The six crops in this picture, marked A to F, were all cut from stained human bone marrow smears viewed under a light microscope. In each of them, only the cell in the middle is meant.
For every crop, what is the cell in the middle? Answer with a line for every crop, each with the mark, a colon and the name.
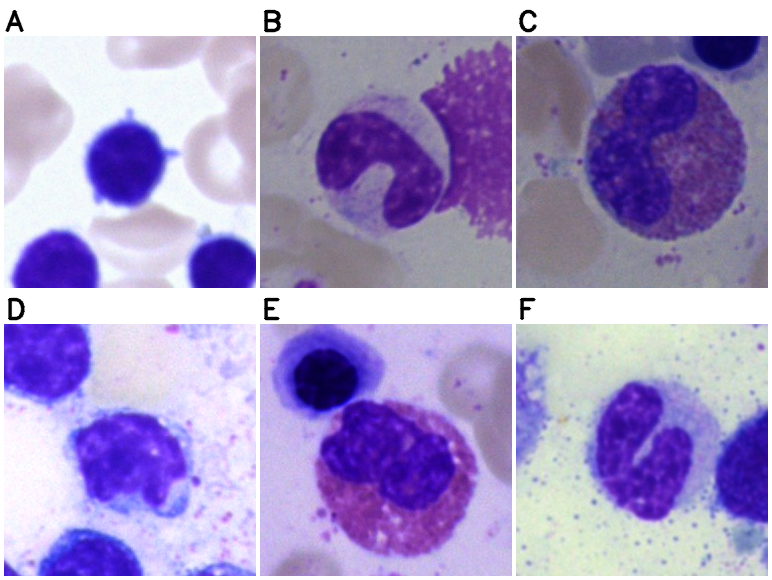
A: lymphocyte
B: band neutrophil
C: eosinophil
D: lymphocyte
E: eosinophil
F: band neutrophil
